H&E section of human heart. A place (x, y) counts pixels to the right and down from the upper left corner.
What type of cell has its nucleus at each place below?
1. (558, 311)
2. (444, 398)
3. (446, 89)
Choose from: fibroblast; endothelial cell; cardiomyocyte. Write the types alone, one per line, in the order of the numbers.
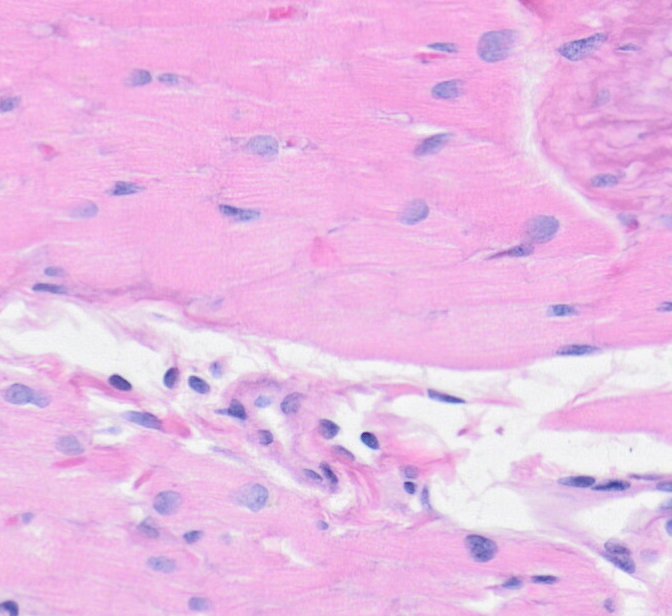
endothelial cell
fibroblast
cardiomyocyte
